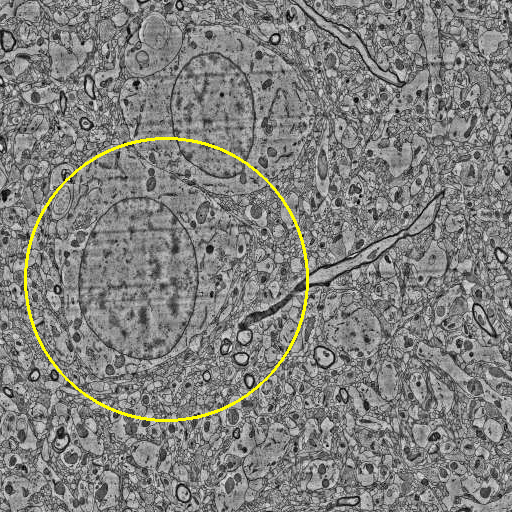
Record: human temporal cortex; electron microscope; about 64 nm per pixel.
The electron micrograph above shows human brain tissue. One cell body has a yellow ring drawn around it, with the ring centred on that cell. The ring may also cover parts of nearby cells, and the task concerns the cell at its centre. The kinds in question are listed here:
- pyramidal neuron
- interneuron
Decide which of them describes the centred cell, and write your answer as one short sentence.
The centred cell is a pyramidal neuron.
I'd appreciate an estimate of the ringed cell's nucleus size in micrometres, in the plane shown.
Roughly 10 micrometres by 8 micrometres, in this plane.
